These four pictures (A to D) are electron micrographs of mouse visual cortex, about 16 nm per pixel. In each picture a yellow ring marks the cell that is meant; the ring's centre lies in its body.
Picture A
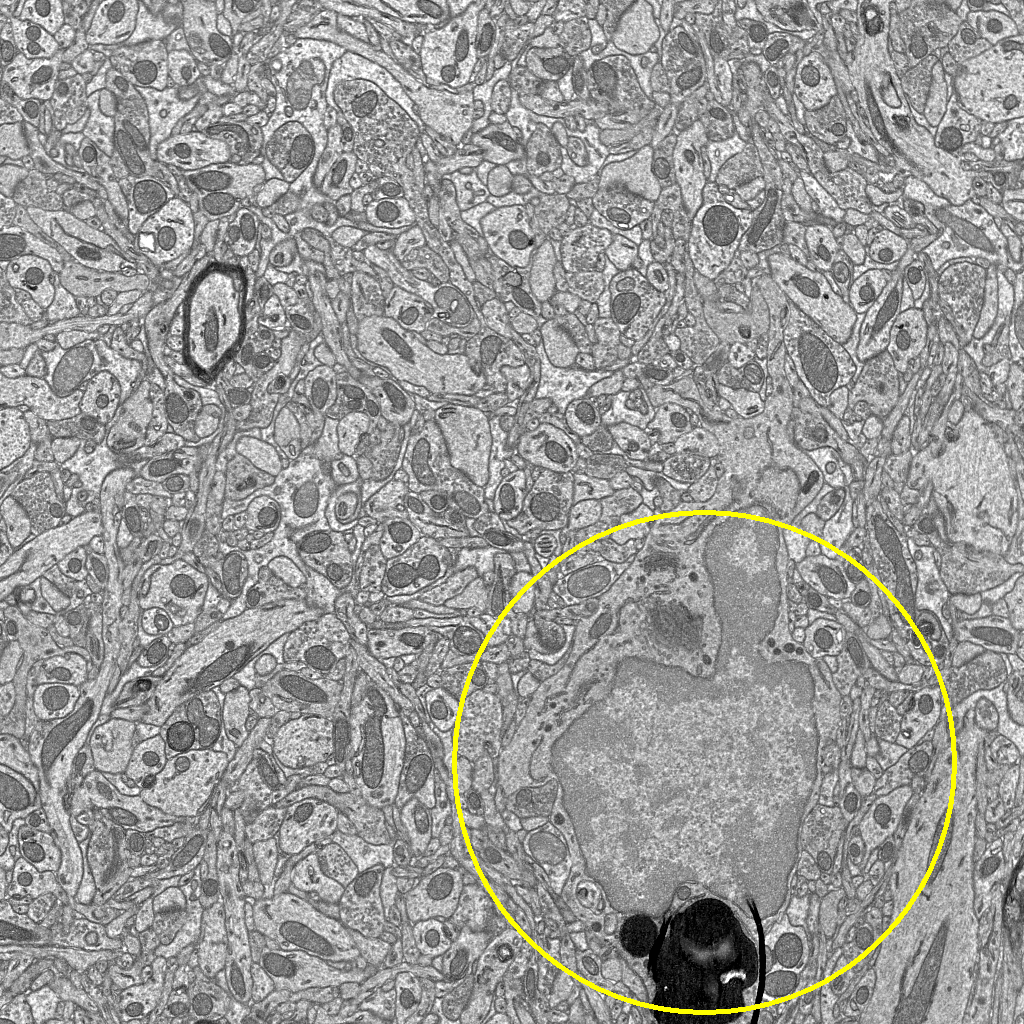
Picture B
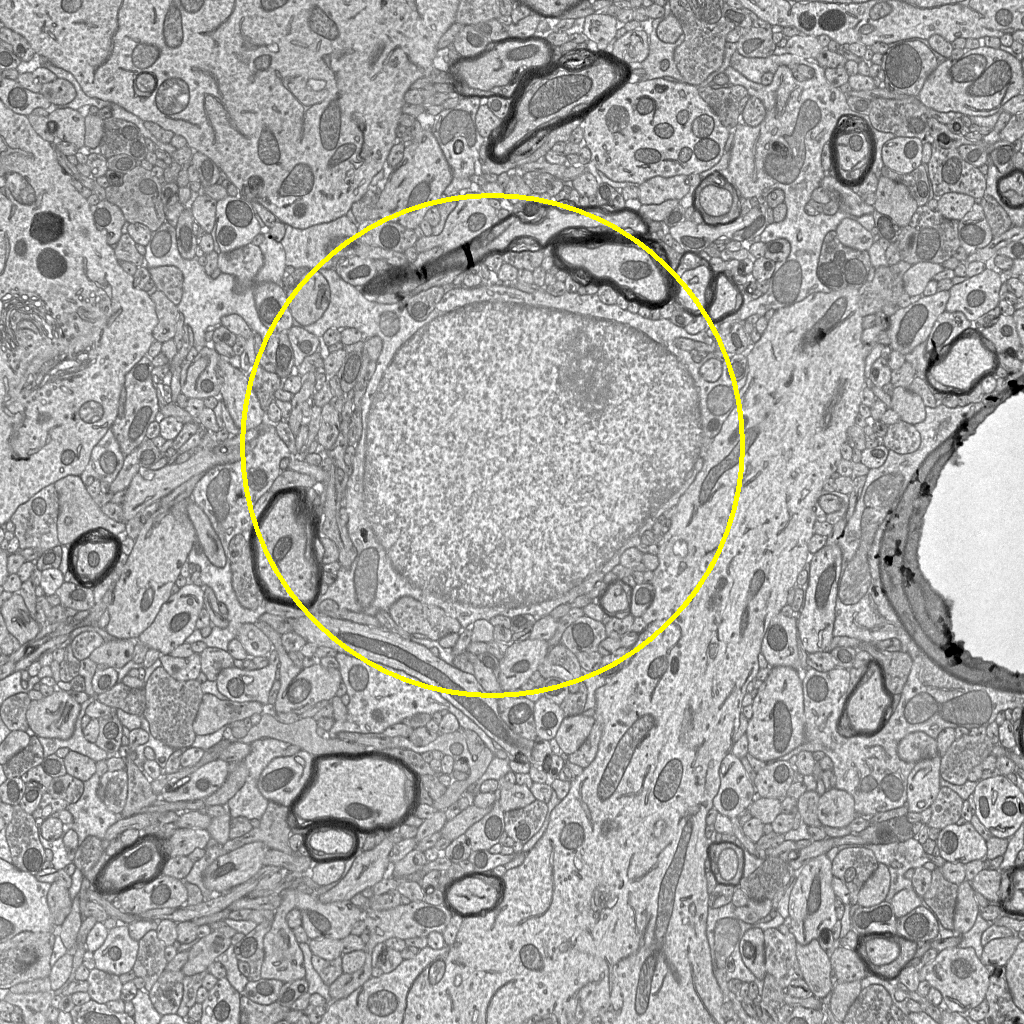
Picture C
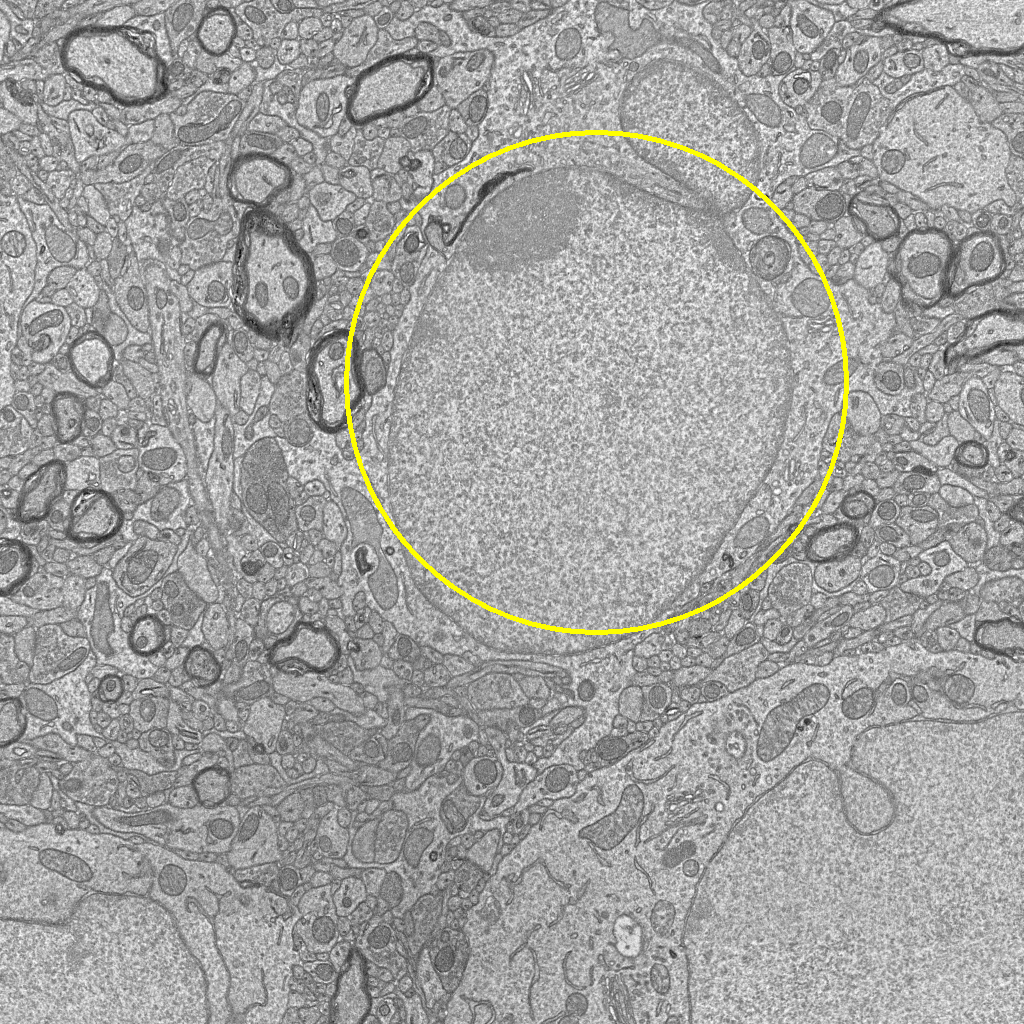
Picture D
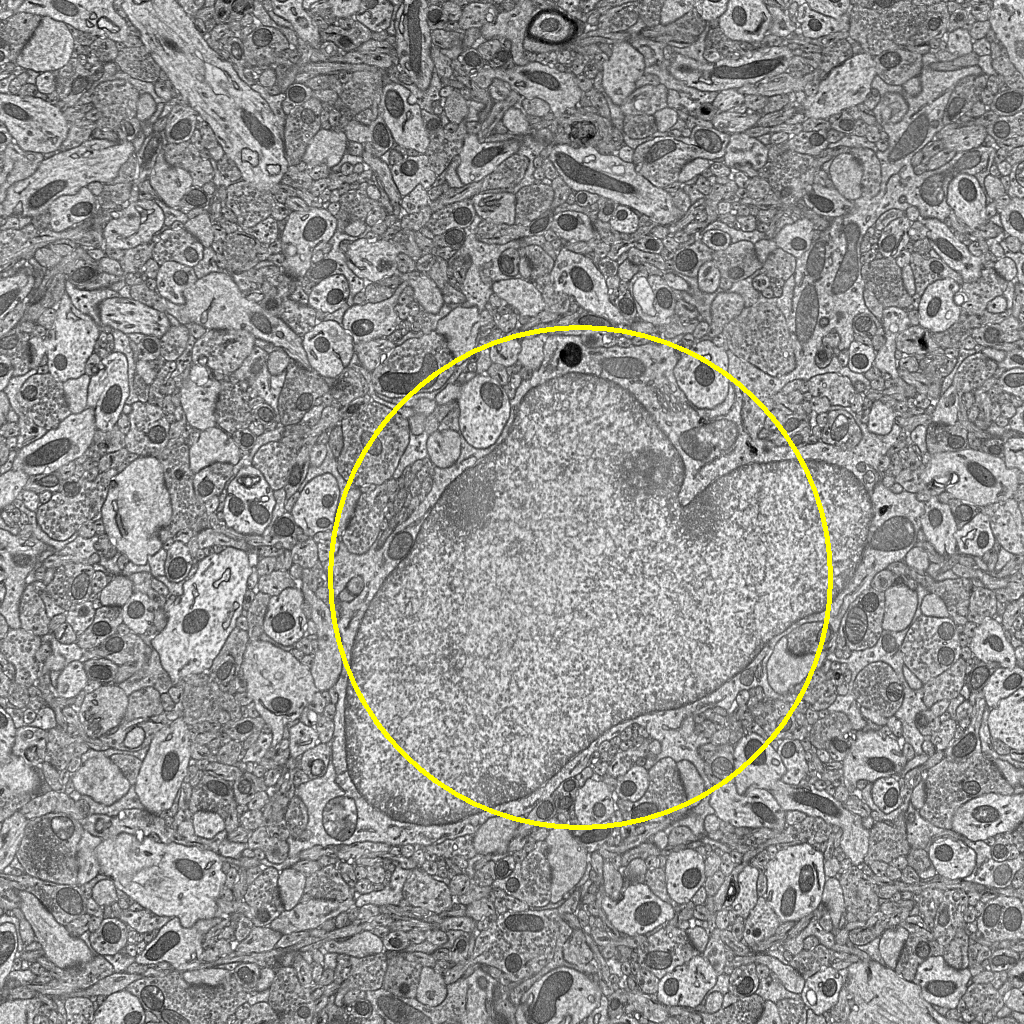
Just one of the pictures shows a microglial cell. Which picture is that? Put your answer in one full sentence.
The microglial cell is the one in picture A.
